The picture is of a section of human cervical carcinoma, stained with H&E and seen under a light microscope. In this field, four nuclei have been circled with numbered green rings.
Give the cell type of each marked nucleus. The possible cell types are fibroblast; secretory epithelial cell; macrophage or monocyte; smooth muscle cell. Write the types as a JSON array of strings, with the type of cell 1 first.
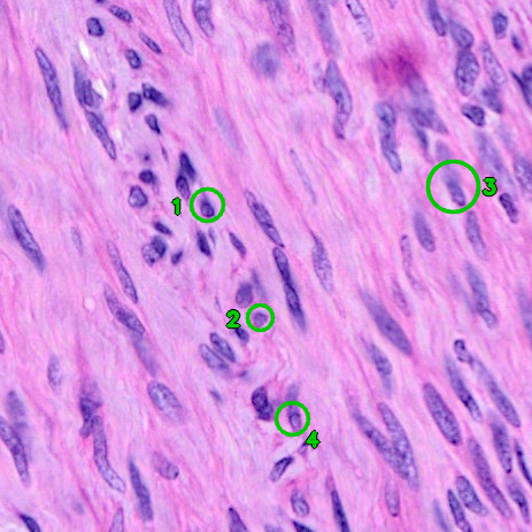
["fibroblast", "smooth muscle cell", "smooth muscle cell", "smooth muscle cell"]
